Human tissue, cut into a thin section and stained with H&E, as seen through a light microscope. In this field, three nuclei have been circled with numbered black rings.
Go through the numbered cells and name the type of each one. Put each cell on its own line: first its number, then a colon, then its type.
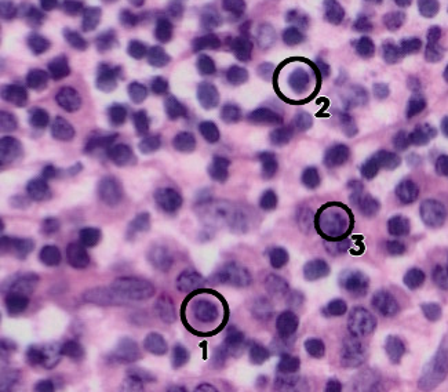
1: plasma cell
2: small lymphocyte
3: plasma cell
